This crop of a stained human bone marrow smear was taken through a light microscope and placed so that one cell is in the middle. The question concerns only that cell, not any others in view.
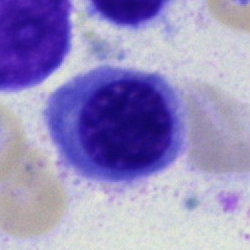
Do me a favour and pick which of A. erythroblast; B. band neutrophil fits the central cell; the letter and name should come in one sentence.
Option A is correct, and the cell in the centre is an erythroblast.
